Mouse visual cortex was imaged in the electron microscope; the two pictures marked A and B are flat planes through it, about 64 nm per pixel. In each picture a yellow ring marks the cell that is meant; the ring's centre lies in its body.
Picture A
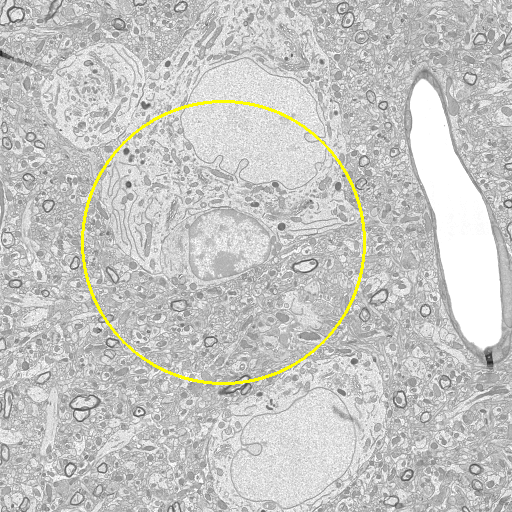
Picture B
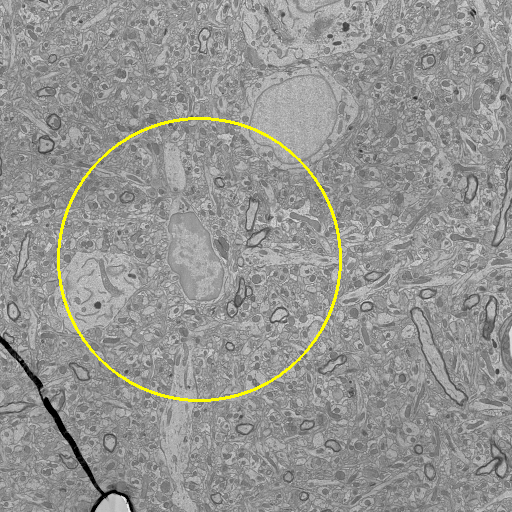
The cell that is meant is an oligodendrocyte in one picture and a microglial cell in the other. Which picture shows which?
Picture B shows a microglial cell, while picture A shows an oligodendrocyte.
